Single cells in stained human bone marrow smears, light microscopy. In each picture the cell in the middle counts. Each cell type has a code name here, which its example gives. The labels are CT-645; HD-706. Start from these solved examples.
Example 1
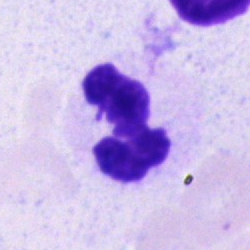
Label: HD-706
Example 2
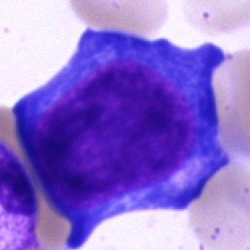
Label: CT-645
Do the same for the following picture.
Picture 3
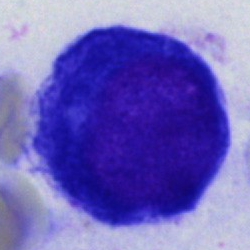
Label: CT-645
